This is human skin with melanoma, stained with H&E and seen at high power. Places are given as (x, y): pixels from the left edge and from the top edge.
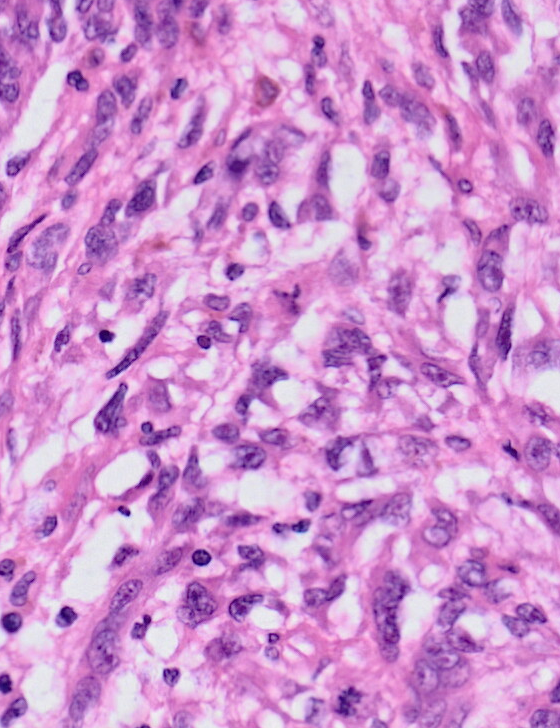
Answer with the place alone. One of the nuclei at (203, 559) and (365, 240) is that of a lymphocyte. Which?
(203, 559)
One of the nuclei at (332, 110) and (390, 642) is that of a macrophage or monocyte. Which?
(332, 110)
